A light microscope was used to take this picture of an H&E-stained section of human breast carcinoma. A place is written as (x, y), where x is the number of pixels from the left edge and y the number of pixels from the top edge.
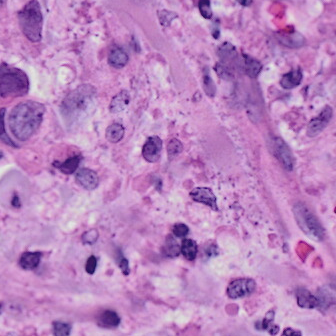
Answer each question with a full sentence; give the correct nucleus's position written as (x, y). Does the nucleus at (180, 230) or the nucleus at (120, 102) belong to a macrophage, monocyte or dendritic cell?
Of the two nuclei, it is the one at (120, 102) that lies within a macrophage, monocyte or dendritic cell.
